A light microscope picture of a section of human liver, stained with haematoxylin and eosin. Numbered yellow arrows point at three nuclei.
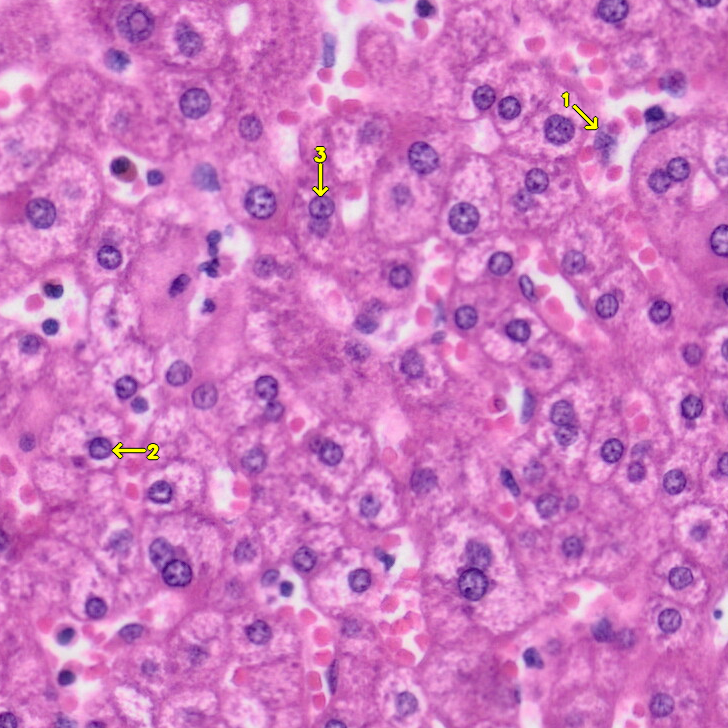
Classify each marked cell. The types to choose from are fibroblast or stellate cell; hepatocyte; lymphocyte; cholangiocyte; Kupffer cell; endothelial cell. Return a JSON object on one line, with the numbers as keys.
{"1": "Kupffer cell", "2": "hepatocyte", "3": "hepatocyte"}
